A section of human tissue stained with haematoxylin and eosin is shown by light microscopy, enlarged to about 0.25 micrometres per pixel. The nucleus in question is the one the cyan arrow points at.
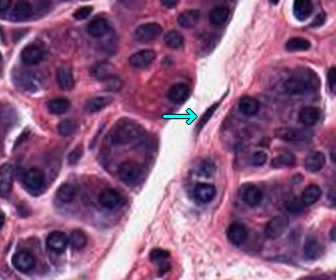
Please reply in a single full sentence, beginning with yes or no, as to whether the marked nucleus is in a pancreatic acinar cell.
No, the marked nucleus does not come from a pancreatic acinar cell but from a supporting cell.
